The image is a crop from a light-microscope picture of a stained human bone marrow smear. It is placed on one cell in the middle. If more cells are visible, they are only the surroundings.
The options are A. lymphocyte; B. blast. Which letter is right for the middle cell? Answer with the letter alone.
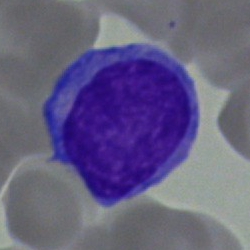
B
